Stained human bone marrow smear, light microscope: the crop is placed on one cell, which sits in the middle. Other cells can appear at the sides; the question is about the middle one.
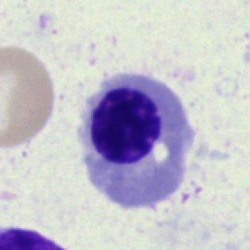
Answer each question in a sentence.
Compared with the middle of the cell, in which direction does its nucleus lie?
It is shifted toward the upper left of the cell.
